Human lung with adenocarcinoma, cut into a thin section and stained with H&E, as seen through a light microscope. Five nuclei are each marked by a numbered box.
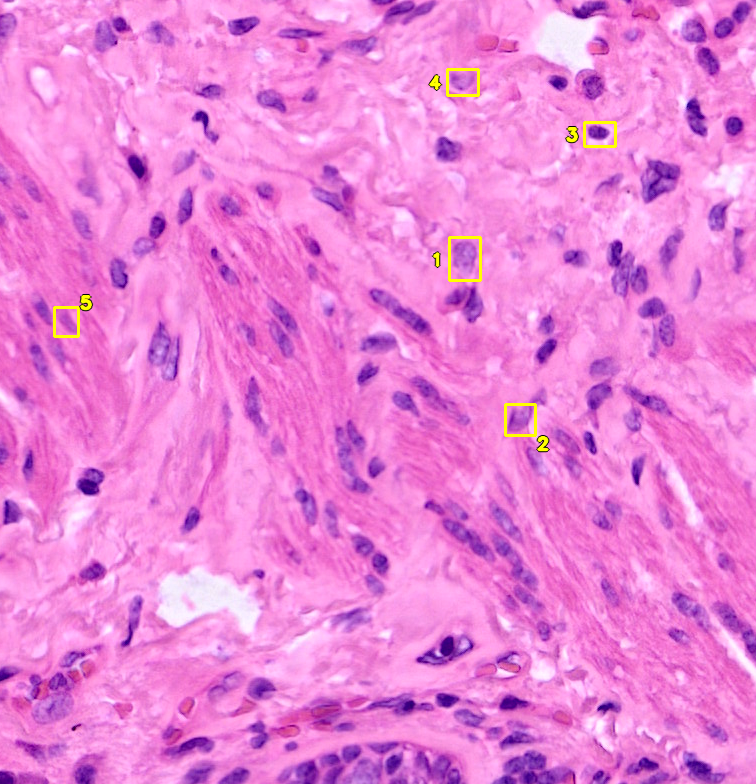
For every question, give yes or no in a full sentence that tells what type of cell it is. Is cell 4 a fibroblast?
Yes, with respect to number 4, the cell is a fibroblast.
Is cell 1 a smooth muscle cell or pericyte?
No, the cell referred to as 1 is a fibroblast, not a smooth muscle cell or pericyte.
